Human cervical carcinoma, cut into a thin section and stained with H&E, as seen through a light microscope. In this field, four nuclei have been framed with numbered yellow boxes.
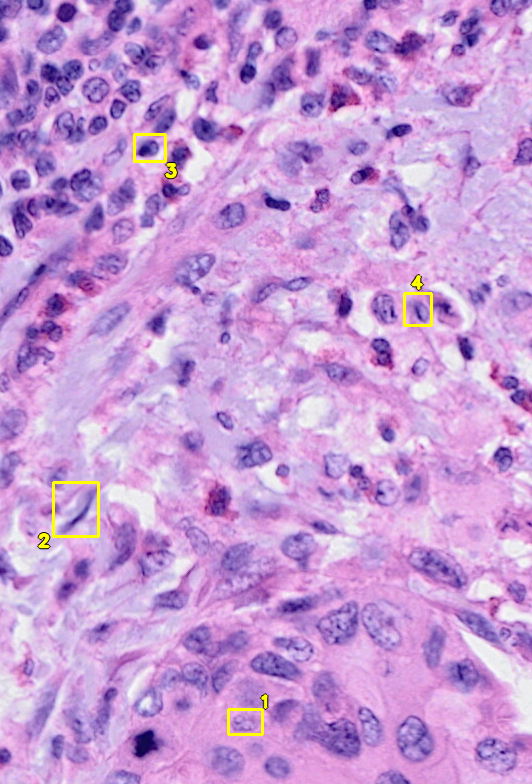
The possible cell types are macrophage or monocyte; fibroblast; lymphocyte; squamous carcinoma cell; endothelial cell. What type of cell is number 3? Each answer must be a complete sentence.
Classified as a lymphocyte is the cell with the number 3.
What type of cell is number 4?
Number 4 is placed on a macrophage or monocyte here.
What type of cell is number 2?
The numbered cell 2 in this field is a fibroblast.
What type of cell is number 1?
The cell indicated by marker 1 is a squamous carcinoma cell in this section.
